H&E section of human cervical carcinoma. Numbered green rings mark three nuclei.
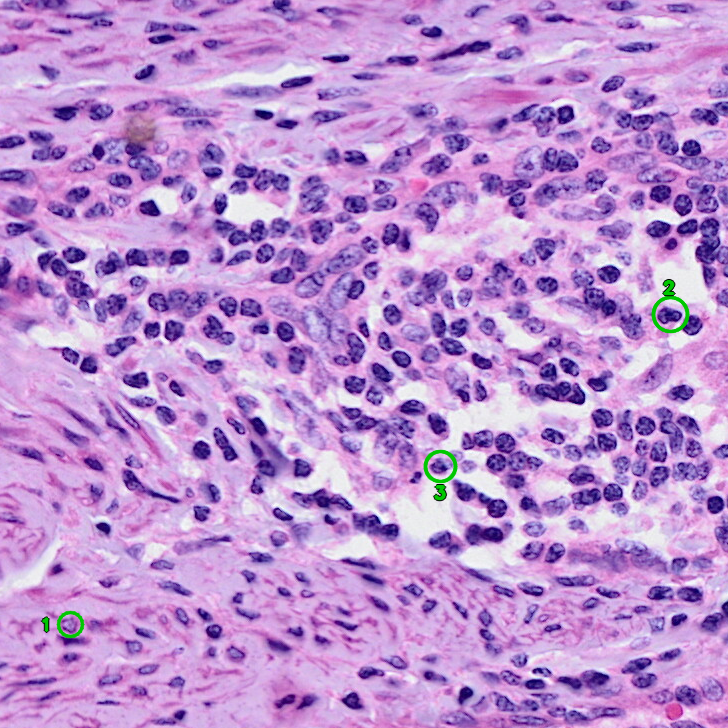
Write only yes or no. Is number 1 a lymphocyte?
no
